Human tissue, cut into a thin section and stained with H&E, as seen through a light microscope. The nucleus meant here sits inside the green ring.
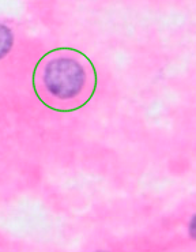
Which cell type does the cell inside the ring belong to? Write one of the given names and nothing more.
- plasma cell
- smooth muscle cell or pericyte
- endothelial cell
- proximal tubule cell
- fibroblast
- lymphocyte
proximal tubule cell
